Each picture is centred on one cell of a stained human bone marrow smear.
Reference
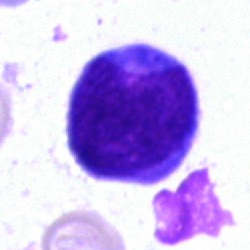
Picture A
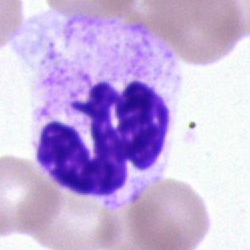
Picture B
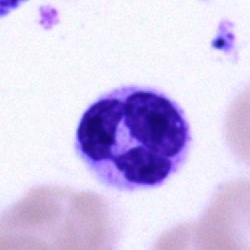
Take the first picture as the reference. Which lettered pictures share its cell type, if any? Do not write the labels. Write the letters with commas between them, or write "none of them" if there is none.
none of them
